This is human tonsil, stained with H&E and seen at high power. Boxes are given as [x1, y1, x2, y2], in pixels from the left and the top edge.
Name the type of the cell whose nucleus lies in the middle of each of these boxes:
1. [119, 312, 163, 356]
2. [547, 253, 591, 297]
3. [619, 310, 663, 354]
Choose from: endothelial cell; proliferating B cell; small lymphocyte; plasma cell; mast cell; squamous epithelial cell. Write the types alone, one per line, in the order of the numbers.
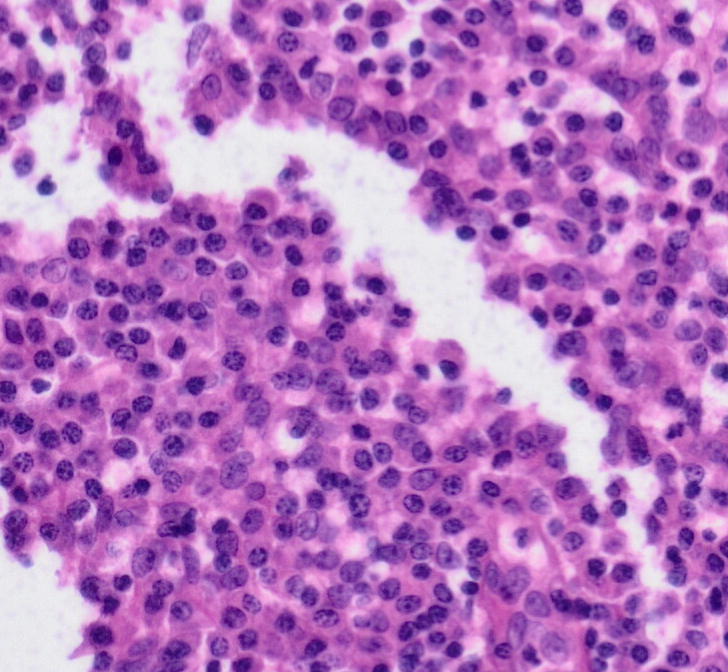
plasma cell
squamous epithelial cell
squamous epithelial cell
